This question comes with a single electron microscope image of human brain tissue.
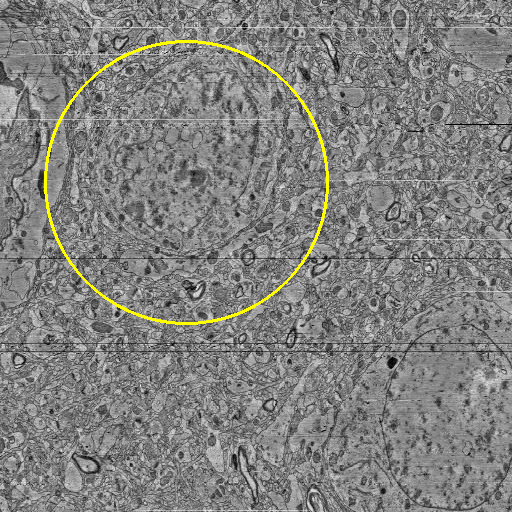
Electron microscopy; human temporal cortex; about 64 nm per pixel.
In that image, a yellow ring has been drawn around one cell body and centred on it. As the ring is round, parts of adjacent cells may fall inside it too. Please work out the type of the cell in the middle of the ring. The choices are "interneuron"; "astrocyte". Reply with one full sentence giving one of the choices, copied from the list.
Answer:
Of the choices, an interneuron is the cell sitting in the middle of the ring.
